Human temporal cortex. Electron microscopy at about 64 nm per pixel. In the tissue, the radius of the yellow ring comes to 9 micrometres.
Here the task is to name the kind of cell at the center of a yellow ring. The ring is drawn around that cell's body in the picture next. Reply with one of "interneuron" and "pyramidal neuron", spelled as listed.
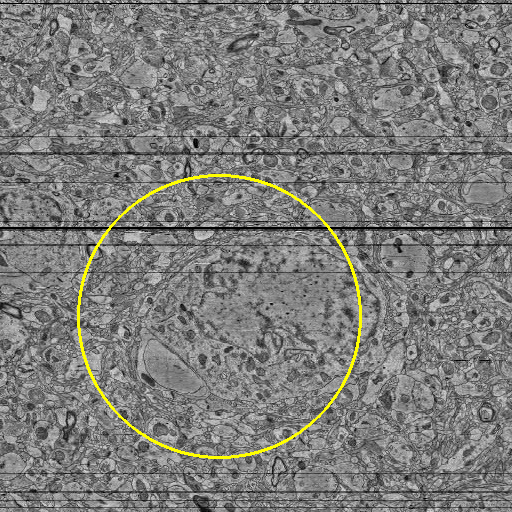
interneuron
